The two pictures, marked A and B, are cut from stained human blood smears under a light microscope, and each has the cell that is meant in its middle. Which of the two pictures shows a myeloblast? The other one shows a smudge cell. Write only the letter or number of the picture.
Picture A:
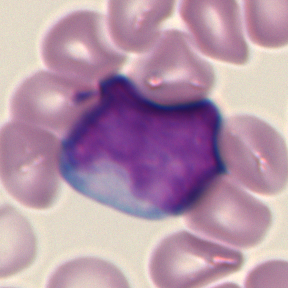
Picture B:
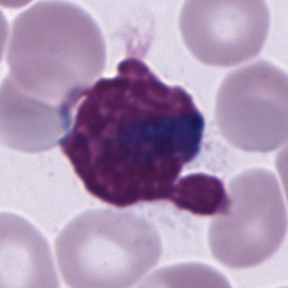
A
